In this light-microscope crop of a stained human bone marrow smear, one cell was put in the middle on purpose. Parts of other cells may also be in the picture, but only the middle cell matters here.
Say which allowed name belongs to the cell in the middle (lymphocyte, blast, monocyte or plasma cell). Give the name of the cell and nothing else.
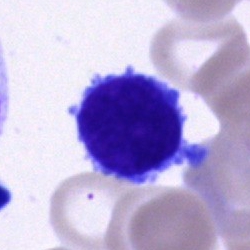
lymphocyte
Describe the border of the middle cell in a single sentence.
The outer contour of the cell is irregular, with ragged portions or projections along it.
